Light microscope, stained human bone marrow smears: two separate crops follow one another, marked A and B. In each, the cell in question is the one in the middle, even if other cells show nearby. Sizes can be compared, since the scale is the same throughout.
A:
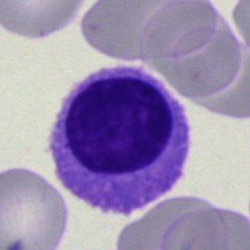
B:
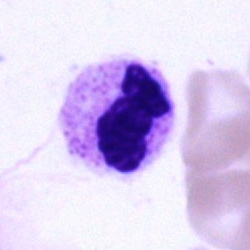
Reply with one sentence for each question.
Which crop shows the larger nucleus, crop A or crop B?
The nucleus in crop A is larger, with about 2 times the area of the one in crop B.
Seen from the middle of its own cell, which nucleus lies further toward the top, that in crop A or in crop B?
It is the nucleus in crop A that lies further toward the top of its cell.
